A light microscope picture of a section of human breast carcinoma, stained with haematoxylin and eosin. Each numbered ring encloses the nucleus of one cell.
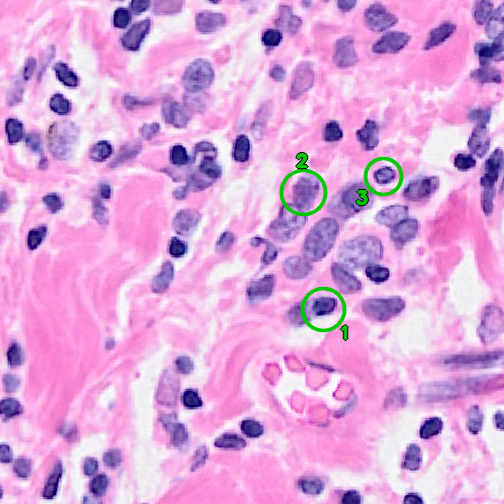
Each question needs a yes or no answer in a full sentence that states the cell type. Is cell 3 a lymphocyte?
Yes, cell 3 is a lymphocyte in this tissue section.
